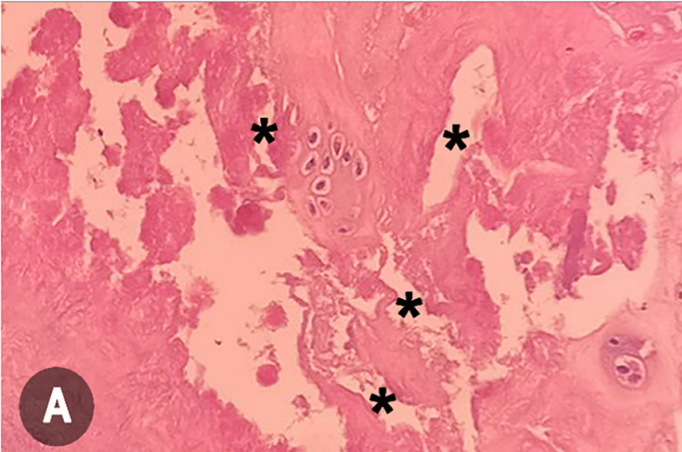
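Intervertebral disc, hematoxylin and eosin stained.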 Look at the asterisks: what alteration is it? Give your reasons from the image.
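Empty, irregular white spaces split the pink matrix. The matrix around the spaces is broken into ragged fragments.
Tears and clefts.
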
